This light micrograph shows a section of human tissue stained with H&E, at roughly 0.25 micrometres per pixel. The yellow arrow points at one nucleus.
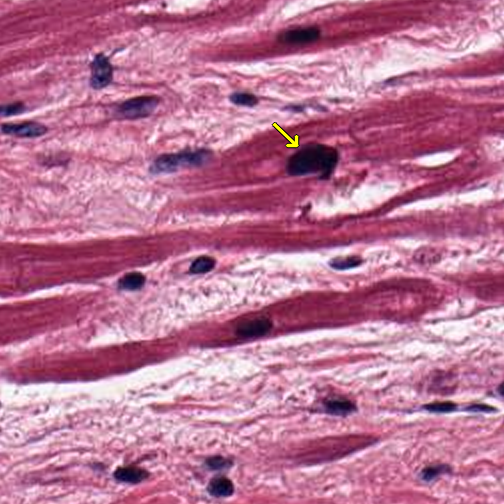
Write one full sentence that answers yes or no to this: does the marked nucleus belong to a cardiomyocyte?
Yes, the marked nucleus is found within a cardiomyocyte.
